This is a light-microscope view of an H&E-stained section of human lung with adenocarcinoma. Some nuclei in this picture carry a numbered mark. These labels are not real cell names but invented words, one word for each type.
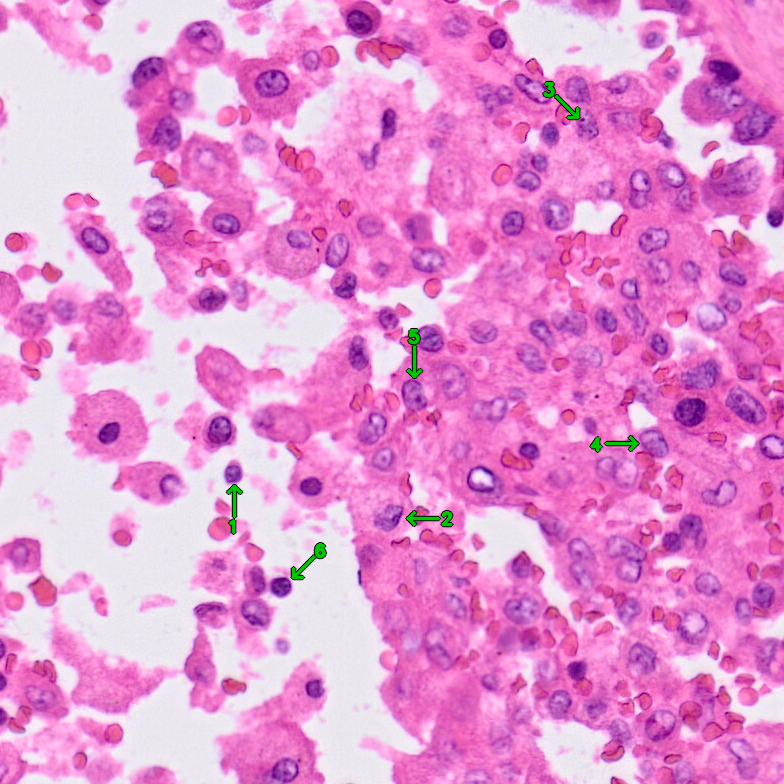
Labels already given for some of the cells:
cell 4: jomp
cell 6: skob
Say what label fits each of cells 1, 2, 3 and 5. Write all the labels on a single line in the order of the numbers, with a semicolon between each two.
skob; jomp; jomp; jomp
